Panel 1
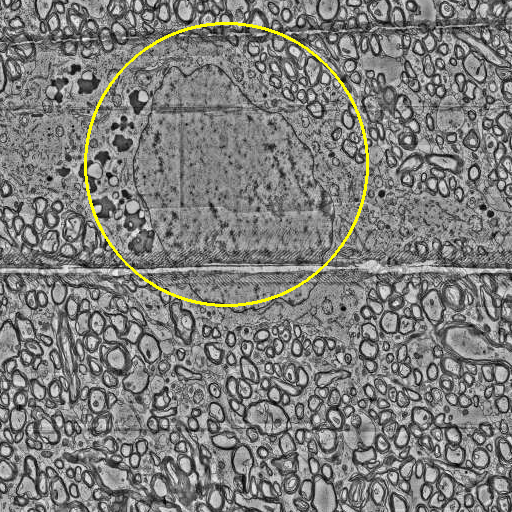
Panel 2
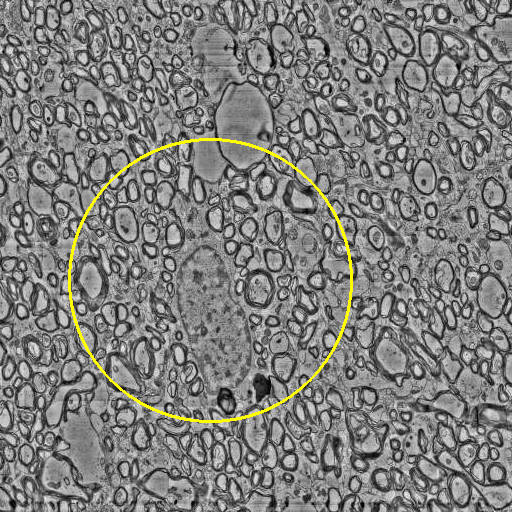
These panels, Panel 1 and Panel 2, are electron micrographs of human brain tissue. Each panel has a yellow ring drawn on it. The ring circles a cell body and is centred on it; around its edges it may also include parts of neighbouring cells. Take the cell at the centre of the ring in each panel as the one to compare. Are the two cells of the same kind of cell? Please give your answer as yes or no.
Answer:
no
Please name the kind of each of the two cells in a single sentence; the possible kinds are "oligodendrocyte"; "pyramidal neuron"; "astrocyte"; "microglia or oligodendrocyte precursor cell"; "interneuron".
In the first picture the ring is centred on a pyramidal neuron, and in the second on an oligodendrocyte.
